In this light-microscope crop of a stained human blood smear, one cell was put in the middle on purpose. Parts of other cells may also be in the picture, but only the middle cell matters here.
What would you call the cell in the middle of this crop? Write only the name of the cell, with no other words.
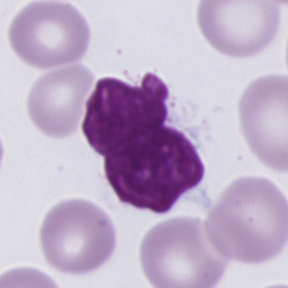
smudge cell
